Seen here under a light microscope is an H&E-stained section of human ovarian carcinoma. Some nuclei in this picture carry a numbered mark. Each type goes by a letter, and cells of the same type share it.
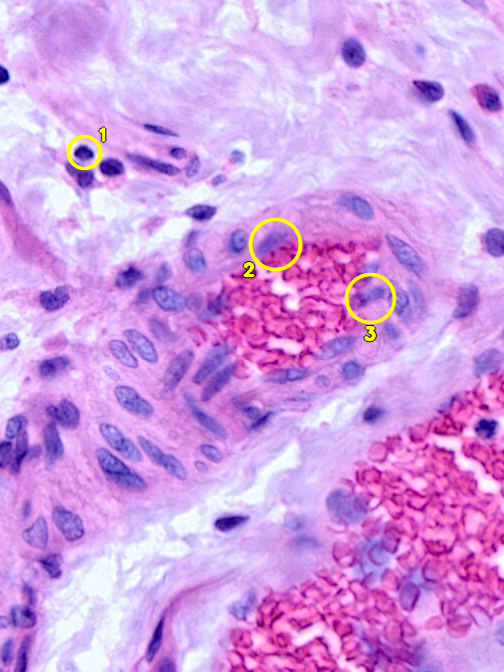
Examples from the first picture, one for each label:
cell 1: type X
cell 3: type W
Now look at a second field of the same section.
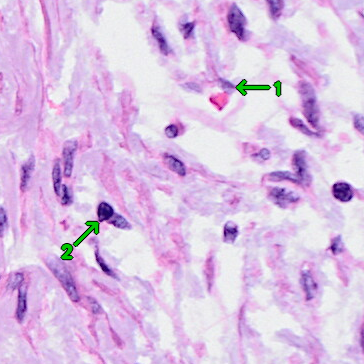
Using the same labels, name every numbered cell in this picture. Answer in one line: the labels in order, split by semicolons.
type W; type X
